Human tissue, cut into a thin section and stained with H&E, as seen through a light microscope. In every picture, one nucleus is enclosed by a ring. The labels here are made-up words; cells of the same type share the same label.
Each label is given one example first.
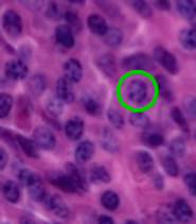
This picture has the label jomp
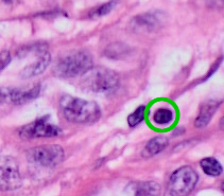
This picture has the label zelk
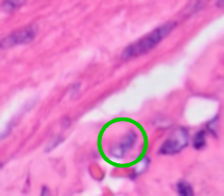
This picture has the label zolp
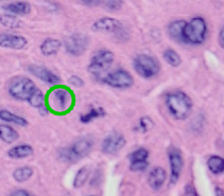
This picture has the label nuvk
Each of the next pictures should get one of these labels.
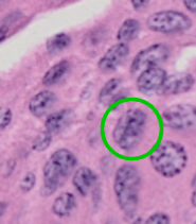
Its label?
nuvk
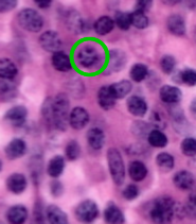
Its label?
jomp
